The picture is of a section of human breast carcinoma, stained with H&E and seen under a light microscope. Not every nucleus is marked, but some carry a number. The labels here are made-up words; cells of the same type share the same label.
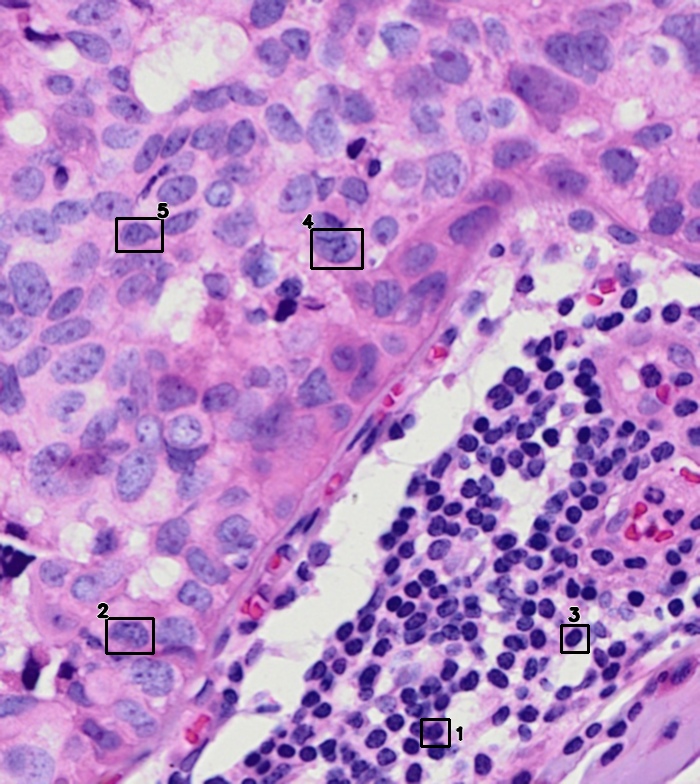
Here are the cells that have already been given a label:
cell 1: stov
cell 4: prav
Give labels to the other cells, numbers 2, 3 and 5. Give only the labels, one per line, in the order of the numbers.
prav
stov
prav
